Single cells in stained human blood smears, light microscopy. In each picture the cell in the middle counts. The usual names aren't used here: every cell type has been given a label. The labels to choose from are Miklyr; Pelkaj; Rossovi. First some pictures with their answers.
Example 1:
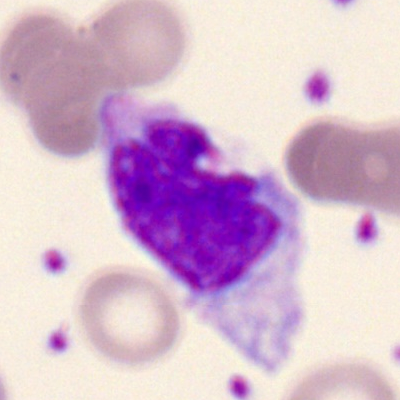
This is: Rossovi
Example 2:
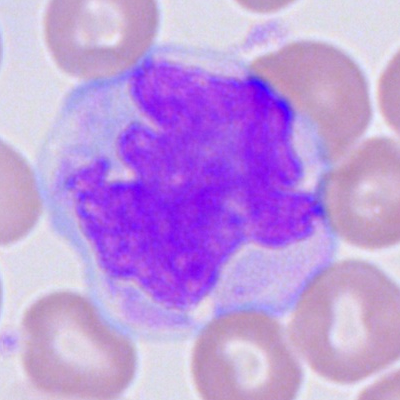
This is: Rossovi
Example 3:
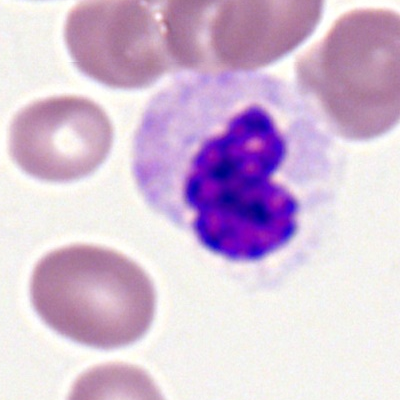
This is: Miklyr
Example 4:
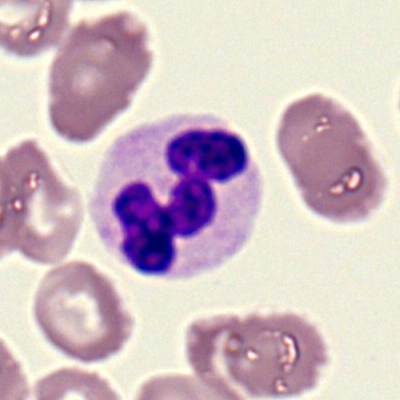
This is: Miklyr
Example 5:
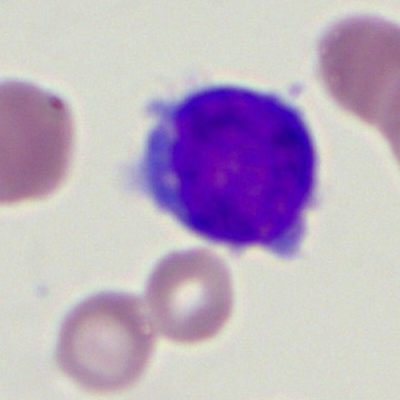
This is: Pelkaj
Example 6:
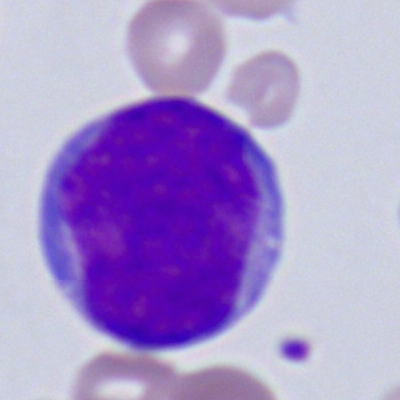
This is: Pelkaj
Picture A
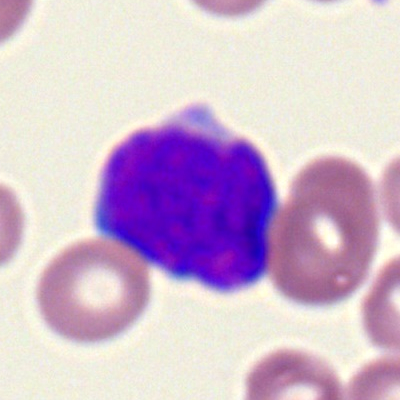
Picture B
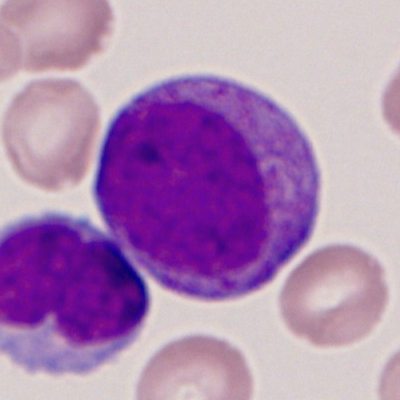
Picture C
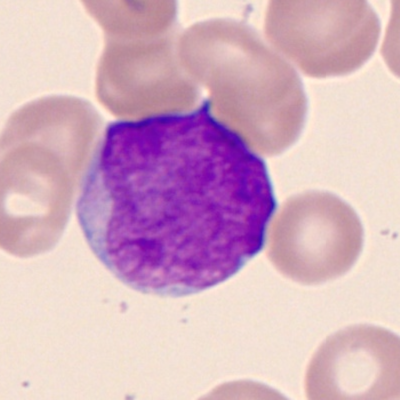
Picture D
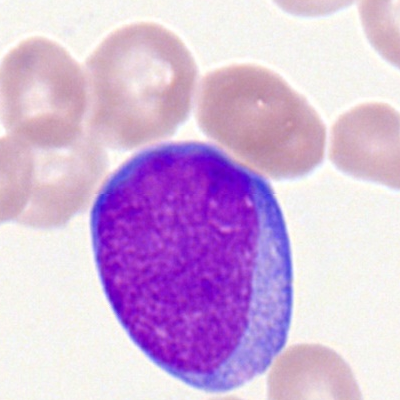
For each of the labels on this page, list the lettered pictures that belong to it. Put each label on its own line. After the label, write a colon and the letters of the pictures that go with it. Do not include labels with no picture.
Pelkaj: A, B, C, D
